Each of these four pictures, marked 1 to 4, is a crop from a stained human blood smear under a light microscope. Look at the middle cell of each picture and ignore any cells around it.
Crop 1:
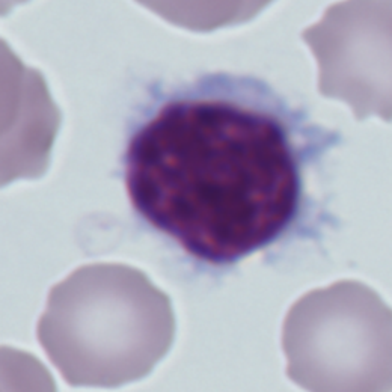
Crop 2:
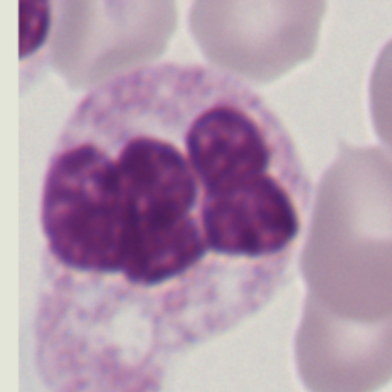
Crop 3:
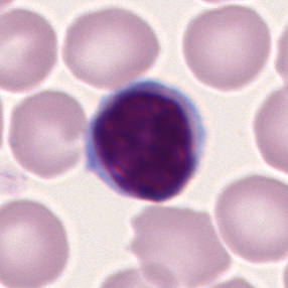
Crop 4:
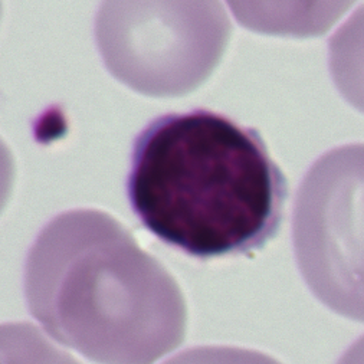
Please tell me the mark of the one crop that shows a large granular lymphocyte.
4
